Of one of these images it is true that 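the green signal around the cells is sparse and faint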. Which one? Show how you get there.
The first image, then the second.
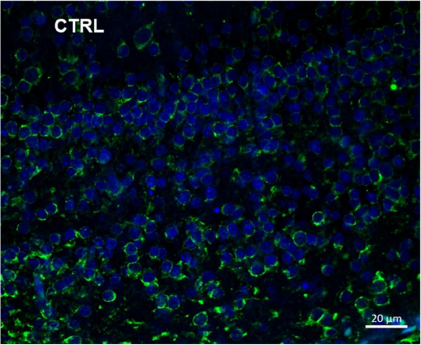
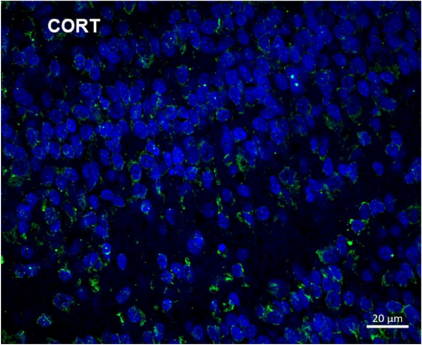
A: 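The second image. Second image: only scattered small green dots and thin, faint green rims appear among the blue nuclei. First image: many cells carry bright green rims, most densely in the lower part of the field.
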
